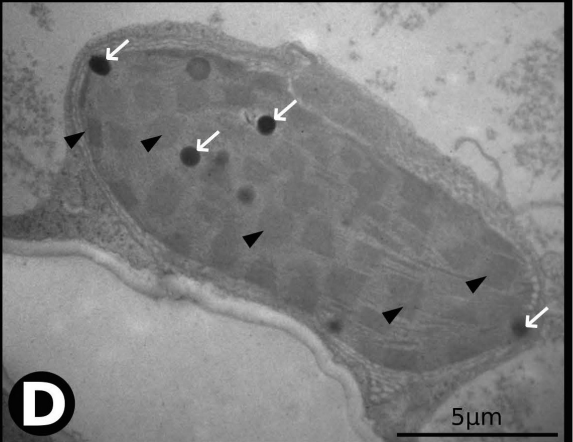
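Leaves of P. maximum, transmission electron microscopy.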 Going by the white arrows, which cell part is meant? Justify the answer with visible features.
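Plastoglobuli. Small round, very electron-dense dots lie inside the organelle. The dots are scattered among the membrane stacks.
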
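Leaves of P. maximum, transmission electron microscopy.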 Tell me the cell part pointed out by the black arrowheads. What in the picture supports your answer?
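Thylakoid membranes. Fine parallel membrane lines and stacked bands run along the organelle. The marked lines lie inside an elongated organelle bounded by an envelope.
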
